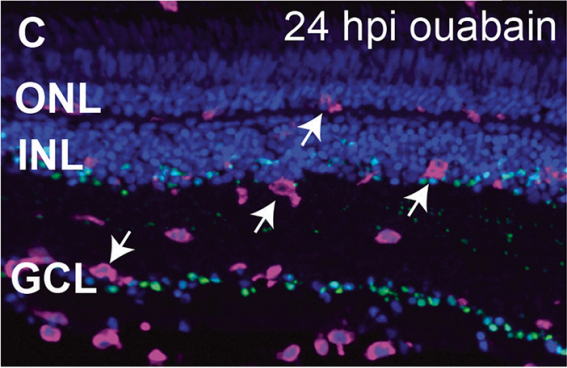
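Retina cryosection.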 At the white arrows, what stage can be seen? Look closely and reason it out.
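The magenta cells at the arrows have compact, rounded bodies. They lack long thin processes. On this evidence: ameboid morphologies.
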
